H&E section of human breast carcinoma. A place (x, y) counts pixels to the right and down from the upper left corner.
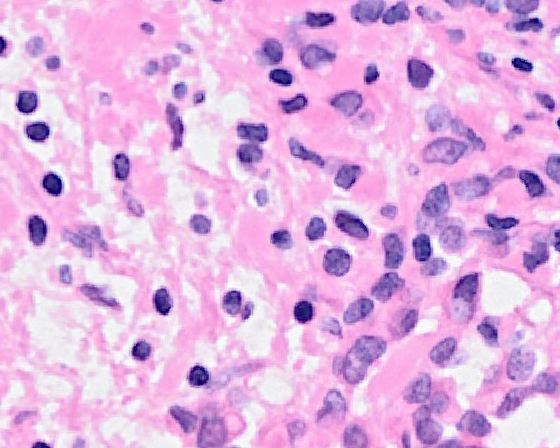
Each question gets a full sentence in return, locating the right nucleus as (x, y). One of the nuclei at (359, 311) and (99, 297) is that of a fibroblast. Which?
That would be the nucleus at (99, 297); it belongs to a fibroblast.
